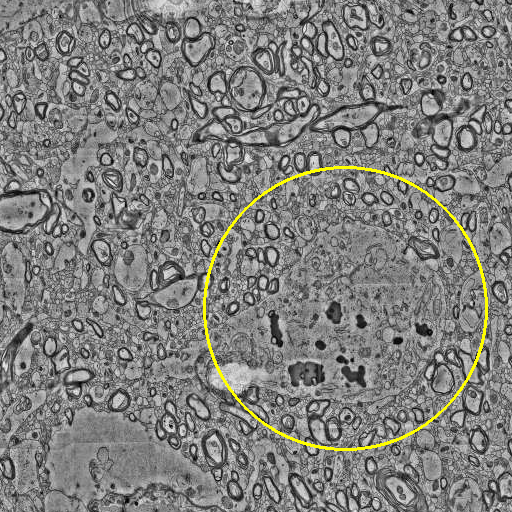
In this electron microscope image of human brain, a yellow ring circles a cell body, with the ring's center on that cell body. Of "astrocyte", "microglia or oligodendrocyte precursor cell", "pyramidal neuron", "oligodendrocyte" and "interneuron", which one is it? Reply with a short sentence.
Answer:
It is an interneuron at the center of the ring.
